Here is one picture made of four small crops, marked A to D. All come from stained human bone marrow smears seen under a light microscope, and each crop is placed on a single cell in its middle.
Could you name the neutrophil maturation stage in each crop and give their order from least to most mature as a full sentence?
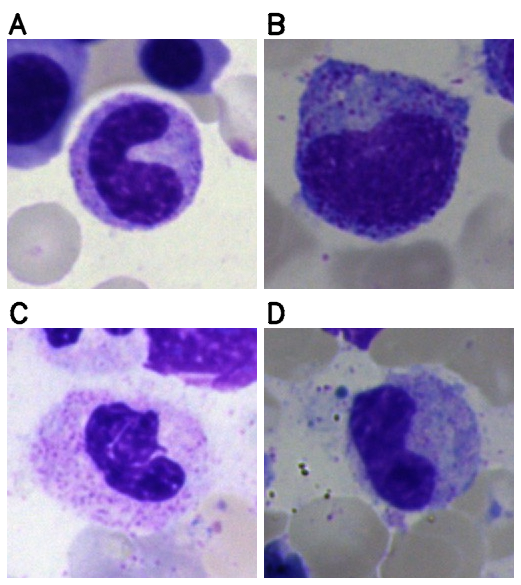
Along the maturation pathway, from earliest to latest, the order is crop B (a promyelocyte), crop D (a metamyelocyte), crop A (a band neutrophil) and crop C (a segmented neutrophil).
